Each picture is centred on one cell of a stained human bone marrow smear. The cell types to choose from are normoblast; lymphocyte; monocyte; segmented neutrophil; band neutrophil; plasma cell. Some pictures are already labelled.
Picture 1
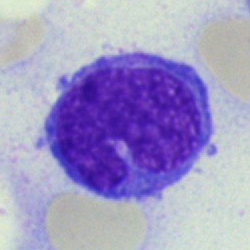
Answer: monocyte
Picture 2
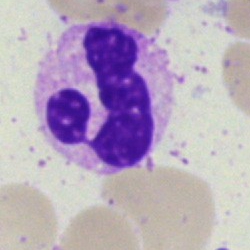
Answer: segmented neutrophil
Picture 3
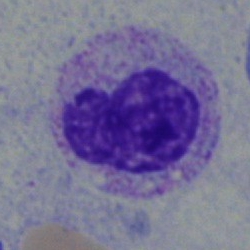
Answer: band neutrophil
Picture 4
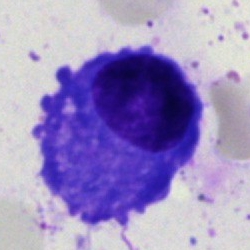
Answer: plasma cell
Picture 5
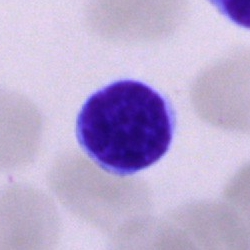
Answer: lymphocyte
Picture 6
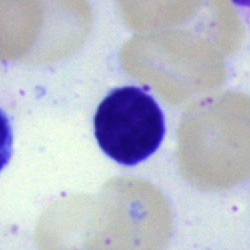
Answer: lymphocyte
